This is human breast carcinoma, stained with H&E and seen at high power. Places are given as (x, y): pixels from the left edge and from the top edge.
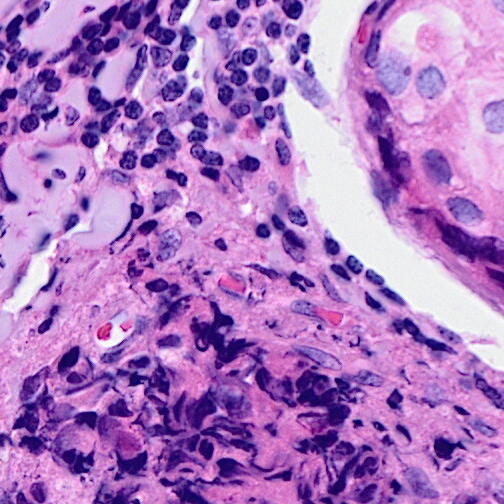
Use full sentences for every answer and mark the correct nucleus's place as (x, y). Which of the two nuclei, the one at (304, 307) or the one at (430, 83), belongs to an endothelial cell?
Of the two candidate nuclei, the one at (304, 307) is that of an endothelial cell.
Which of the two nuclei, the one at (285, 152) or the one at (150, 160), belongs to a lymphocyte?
Lying within a lymphocyte is the nucleus at (150, 160).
